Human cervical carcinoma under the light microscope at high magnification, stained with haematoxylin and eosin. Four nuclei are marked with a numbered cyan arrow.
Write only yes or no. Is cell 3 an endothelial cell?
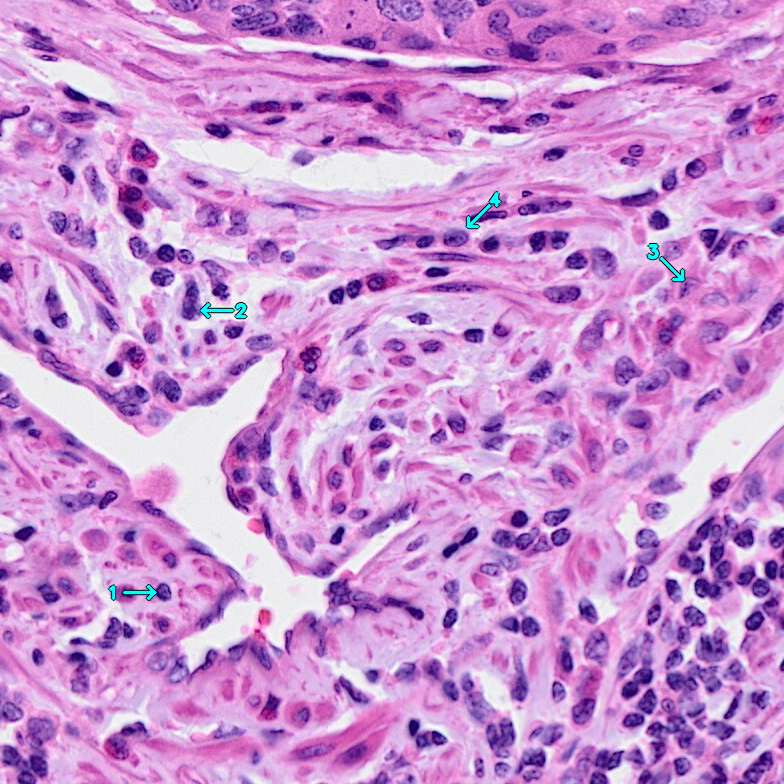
yes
